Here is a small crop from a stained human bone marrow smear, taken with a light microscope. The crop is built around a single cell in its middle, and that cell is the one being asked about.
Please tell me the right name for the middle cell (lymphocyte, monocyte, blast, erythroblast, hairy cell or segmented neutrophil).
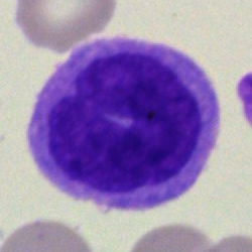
monocyte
